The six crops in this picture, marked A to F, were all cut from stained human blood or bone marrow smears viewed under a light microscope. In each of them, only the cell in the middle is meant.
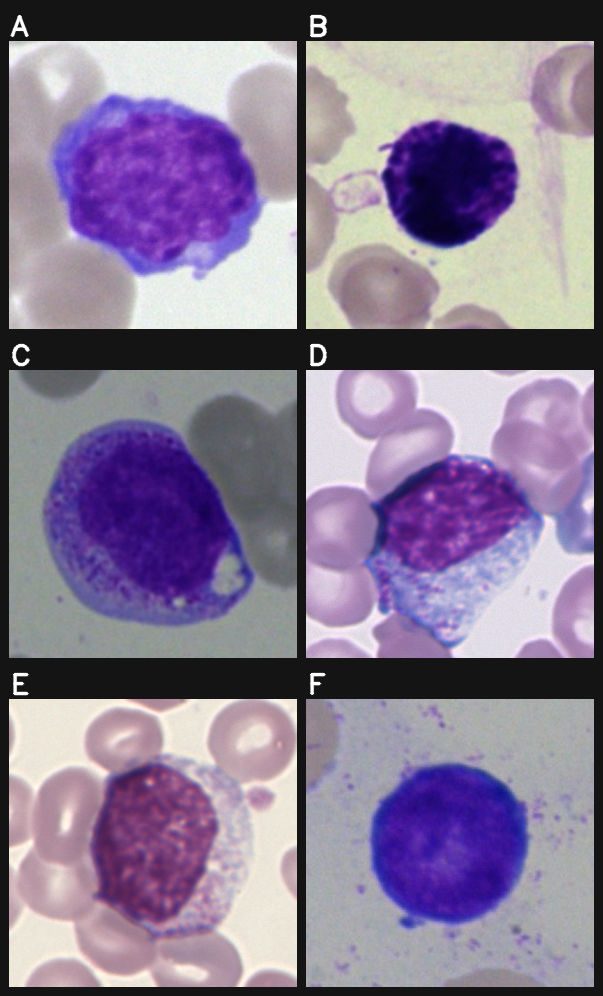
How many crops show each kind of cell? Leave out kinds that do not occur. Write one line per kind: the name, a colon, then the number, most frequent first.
myelocyte: 3
blast: 2
basophil: 1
